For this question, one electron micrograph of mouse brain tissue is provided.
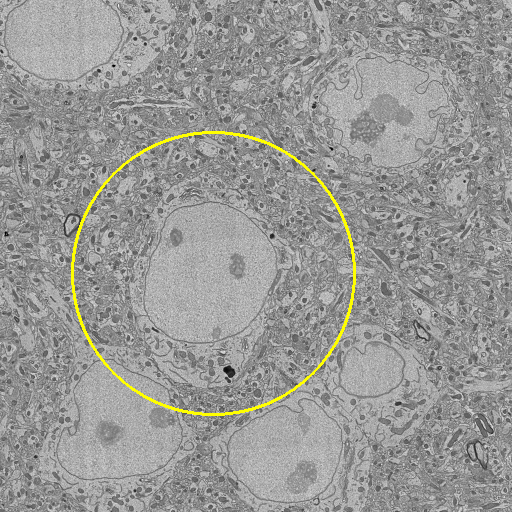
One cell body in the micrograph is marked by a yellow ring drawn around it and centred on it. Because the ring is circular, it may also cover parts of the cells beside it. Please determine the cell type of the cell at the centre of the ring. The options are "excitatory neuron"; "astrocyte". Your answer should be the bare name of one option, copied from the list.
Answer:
excitatory neuron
